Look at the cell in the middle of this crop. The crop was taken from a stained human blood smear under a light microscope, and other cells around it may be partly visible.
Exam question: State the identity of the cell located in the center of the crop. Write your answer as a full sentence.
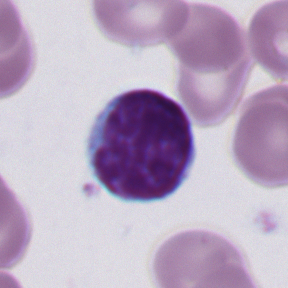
The middle of this crop holds a lymphocyte.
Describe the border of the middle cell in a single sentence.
No projections interrupt the outline; it is smooth all the way round.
